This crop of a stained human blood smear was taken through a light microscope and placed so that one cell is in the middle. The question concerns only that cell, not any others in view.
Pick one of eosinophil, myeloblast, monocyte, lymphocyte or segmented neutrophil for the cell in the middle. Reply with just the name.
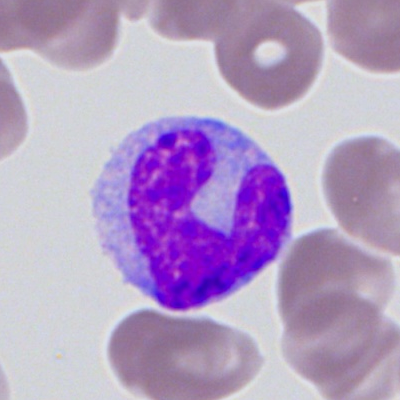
monocyte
